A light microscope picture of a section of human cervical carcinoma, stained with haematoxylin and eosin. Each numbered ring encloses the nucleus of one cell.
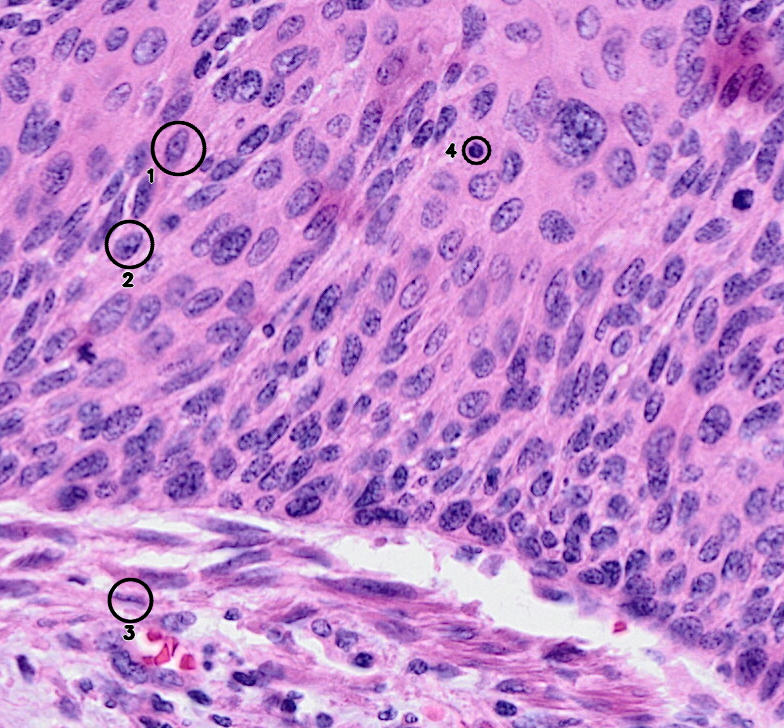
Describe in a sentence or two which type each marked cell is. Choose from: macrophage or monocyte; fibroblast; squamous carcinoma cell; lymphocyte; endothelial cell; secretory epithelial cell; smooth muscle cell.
Cells 1, 2 and 4 are squamous carcinoma cells. Cell 3 is a fibroblast.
